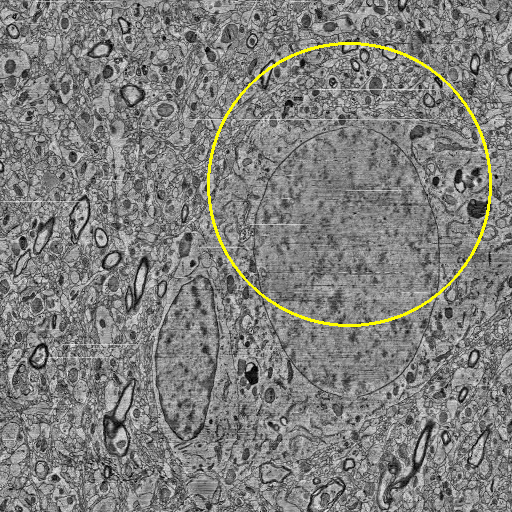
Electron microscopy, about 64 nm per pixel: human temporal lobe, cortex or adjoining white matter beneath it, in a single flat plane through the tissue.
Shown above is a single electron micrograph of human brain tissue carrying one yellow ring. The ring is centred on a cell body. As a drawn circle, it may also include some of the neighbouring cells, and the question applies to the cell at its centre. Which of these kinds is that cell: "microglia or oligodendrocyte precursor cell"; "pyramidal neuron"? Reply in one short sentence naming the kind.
The cell marked by the ring is a pyramidal neuron.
